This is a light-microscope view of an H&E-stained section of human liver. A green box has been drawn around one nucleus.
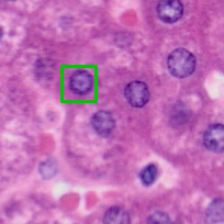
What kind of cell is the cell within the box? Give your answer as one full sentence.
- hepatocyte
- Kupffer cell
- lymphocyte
As to its cell type, the cell within the box is a hepatocyte.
